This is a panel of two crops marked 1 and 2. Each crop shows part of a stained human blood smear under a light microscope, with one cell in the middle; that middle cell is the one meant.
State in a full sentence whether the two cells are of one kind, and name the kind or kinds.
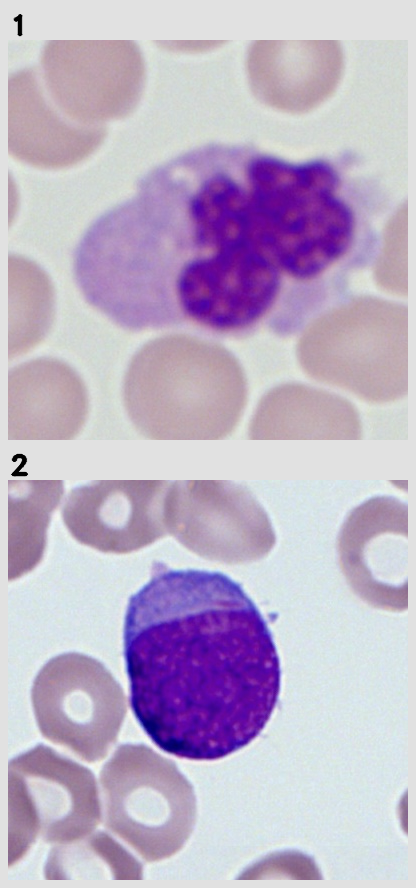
No, the correct reading is a monocyte in crop 1 and a blast in crop 2.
